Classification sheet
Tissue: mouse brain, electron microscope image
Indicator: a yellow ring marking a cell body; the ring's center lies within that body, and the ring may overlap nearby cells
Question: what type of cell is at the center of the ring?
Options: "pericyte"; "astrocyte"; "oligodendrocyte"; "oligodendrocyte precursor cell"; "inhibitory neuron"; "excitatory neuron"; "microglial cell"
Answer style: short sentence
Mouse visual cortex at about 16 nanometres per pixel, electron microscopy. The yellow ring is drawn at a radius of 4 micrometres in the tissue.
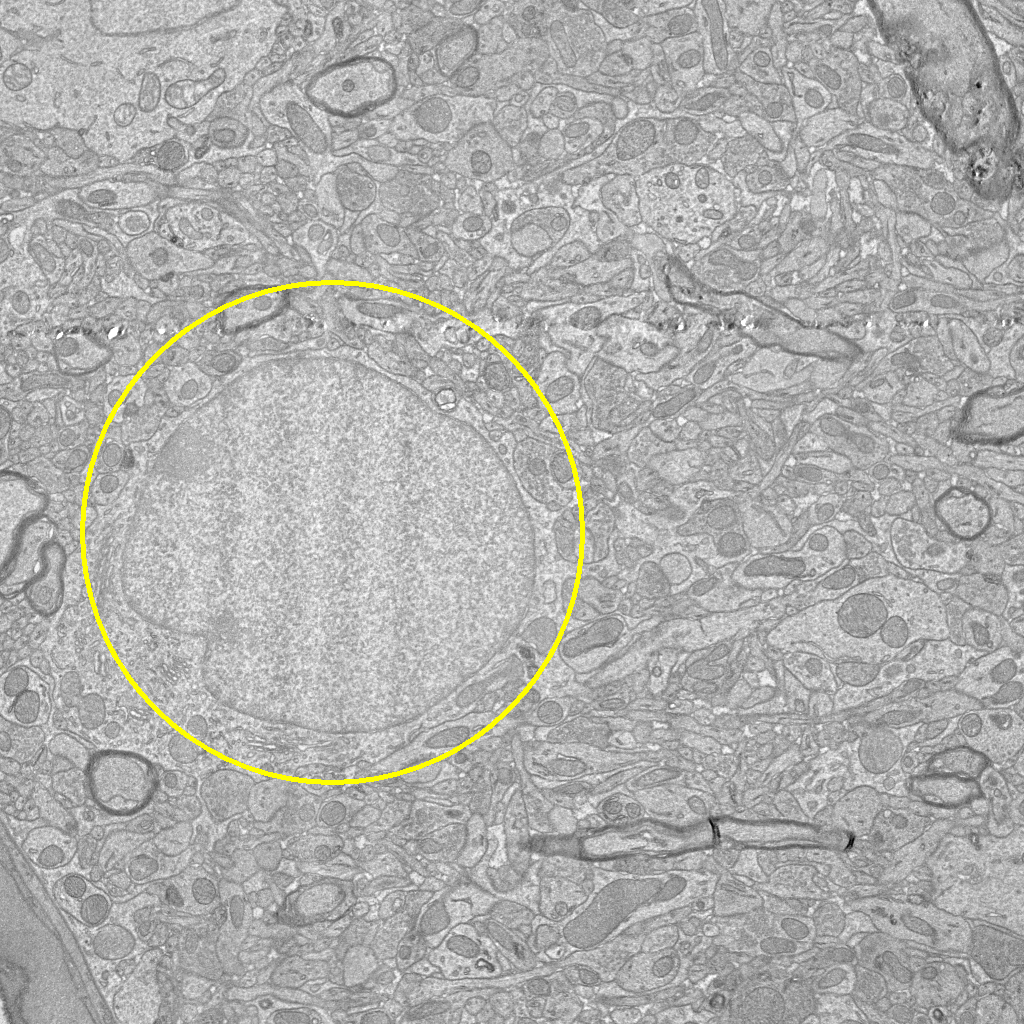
At the ring's center is an astrocyte.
